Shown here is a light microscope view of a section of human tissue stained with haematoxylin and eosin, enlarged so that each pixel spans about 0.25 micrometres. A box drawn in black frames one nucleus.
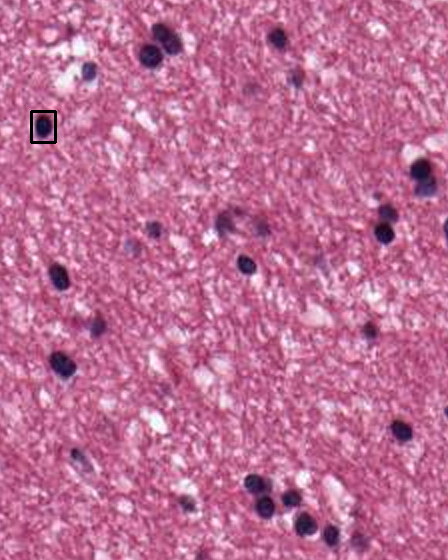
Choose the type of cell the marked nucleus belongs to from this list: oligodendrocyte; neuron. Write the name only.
oligodendrocyte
